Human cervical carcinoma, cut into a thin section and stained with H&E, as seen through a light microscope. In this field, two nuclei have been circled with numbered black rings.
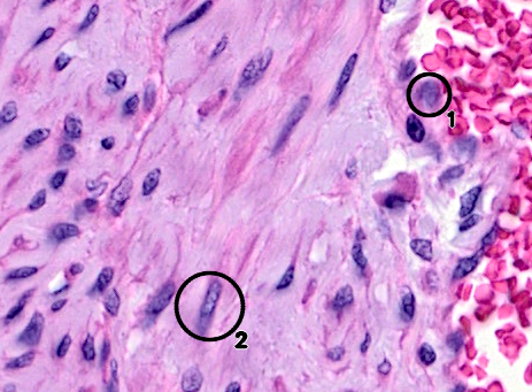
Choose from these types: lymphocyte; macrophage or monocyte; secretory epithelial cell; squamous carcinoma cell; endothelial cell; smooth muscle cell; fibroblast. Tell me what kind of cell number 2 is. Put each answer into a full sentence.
Among the marked cells, number 2 is a smooth muscle cell.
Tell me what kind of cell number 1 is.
The cell pointed out by number 1 is an endothelial cell.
